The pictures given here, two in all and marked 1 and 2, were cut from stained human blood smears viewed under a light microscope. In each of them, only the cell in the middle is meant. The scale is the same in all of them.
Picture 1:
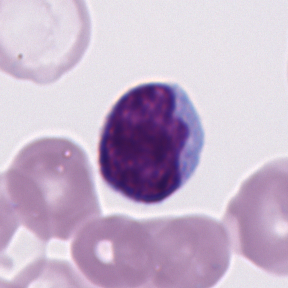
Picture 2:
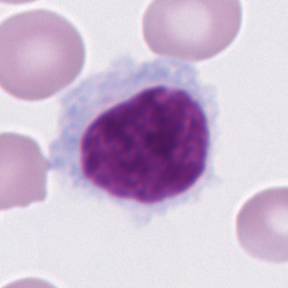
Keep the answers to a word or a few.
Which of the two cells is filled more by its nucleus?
1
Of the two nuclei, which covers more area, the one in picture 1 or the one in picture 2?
2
